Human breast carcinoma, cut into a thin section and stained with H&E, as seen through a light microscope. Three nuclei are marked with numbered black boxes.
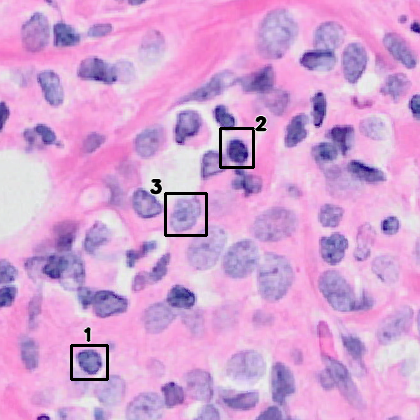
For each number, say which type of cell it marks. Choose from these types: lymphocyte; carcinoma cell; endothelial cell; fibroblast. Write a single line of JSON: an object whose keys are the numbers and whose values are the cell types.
{"1": "lymphocyte", "2": "lymphocyte", "3": "carcinoma cell"}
